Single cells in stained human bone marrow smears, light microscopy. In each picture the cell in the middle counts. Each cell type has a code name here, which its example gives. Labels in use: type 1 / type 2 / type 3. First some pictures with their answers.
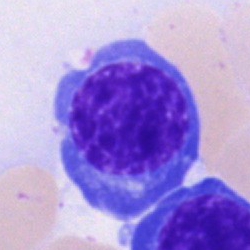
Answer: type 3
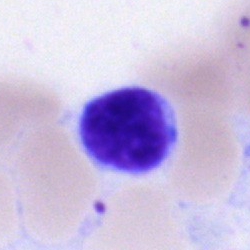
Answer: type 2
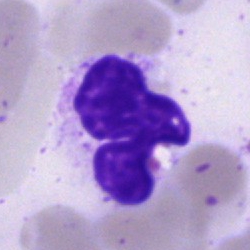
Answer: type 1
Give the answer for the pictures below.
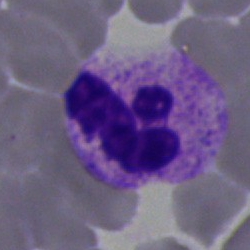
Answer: type 1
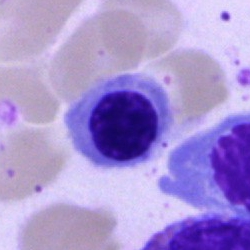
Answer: type 3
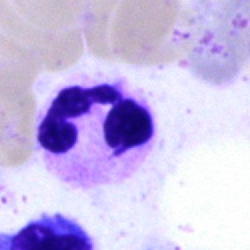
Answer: type 1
